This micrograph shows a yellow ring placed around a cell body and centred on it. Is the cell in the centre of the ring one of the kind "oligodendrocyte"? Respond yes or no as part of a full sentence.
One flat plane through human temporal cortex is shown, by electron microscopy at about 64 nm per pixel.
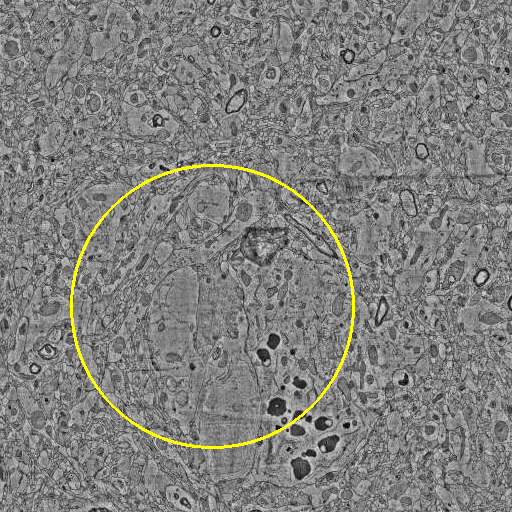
Yes, the cell in the centre of the ring within the picture is one of that kind.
